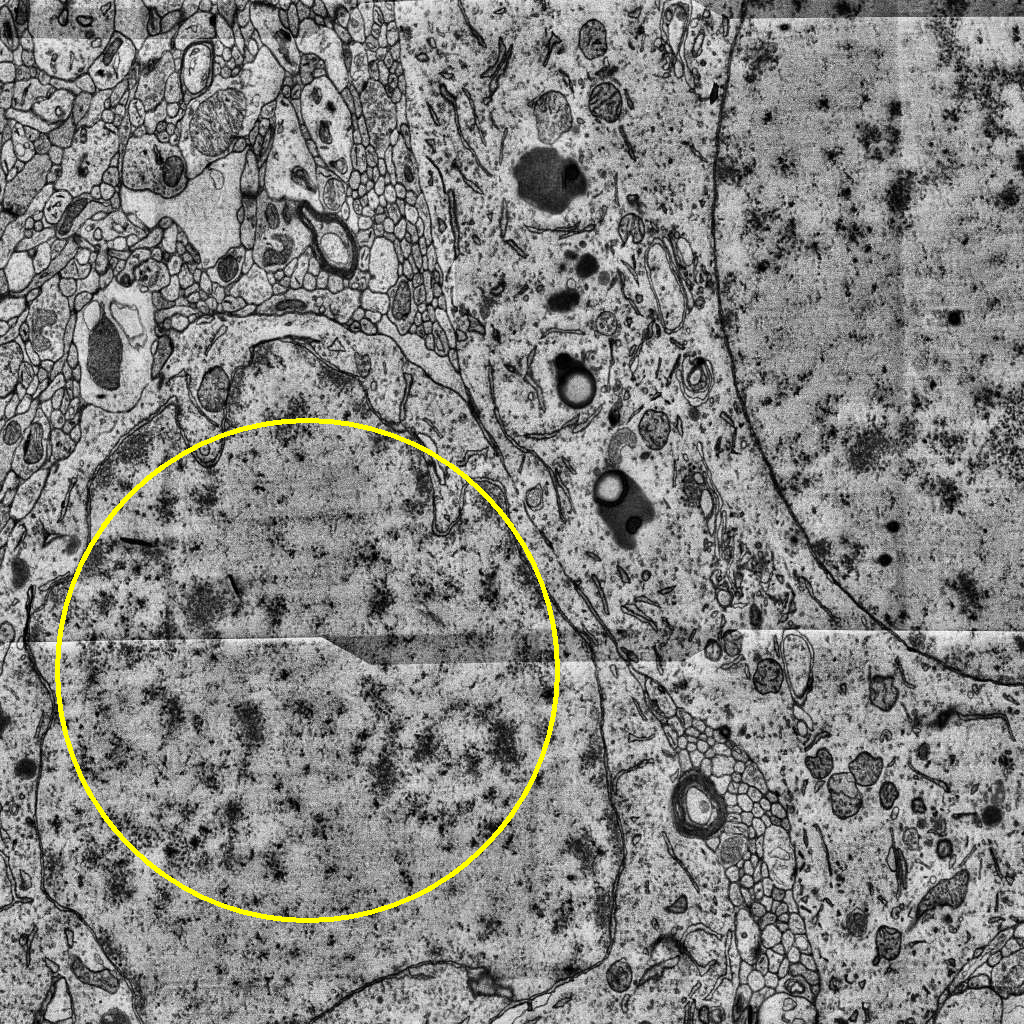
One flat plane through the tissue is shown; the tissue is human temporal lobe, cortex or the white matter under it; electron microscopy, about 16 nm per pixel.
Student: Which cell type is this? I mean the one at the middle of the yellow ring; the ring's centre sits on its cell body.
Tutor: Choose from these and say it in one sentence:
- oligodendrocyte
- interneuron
The cell at the ring's centre is an interneuron.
